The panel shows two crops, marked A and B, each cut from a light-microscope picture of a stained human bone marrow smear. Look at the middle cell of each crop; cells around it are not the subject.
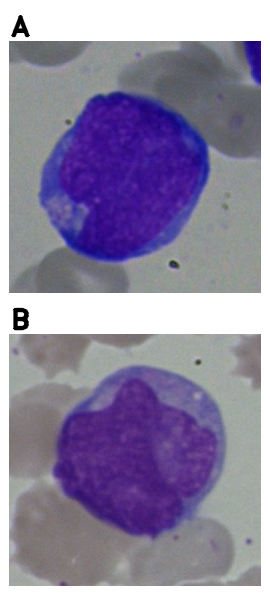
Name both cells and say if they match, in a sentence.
Yes, the middle cells in the two crops are blasts.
